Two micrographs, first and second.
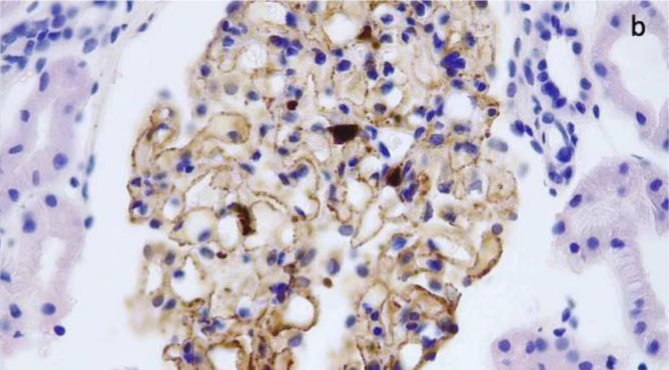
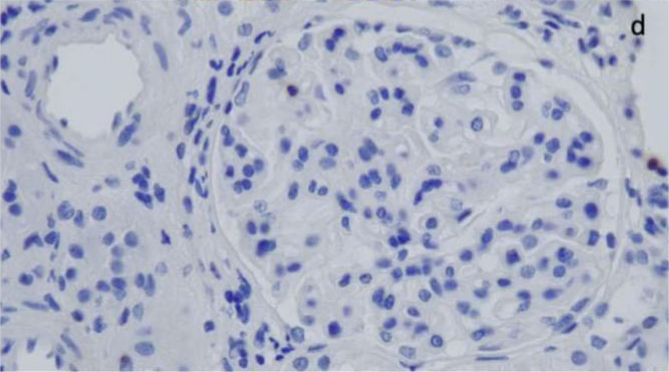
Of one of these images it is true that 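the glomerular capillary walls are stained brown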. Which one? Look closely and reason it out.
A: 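The first image. Second image: the glomerular tuft shows only blue nuclei on a pale grey background, with no brown along the capillary walls. First image: brown granular stain outlines the capillary loops across the whole tuft.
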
